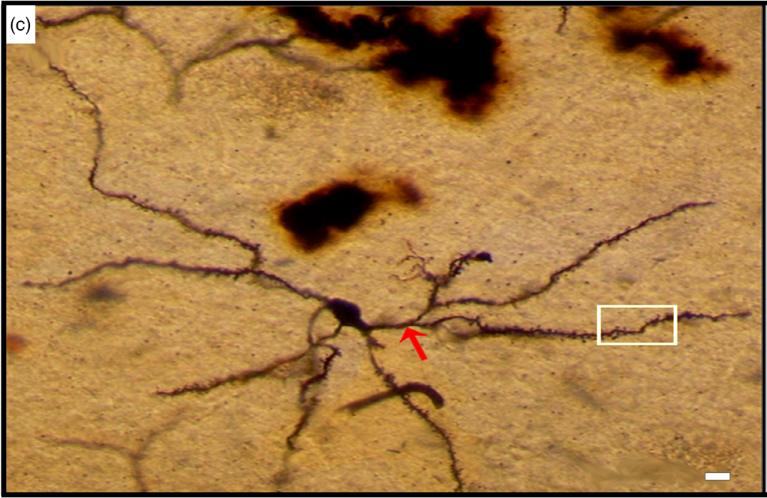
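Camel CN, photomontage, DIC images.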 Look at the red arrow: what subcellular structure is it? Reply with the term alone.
Primary dendrites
